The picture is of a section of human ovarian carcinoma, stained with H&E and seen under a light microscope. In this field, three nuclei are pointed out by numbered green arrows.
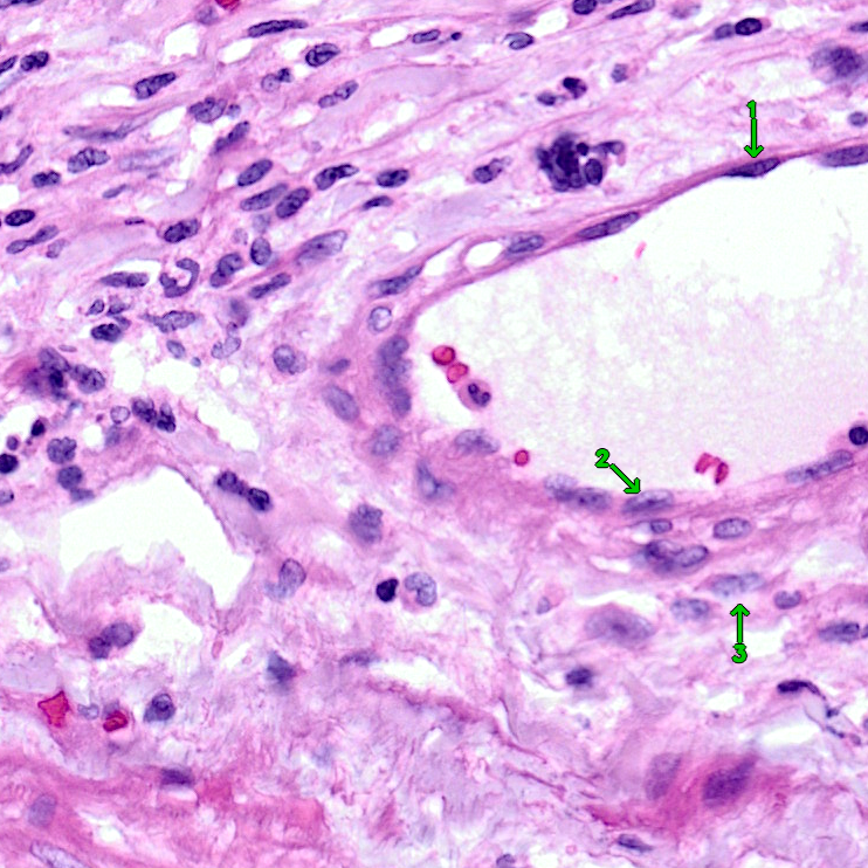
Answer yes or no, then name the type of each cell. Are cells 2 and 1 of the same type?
Yes, both cell 2 and cell 1 count among the endothelial cells.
